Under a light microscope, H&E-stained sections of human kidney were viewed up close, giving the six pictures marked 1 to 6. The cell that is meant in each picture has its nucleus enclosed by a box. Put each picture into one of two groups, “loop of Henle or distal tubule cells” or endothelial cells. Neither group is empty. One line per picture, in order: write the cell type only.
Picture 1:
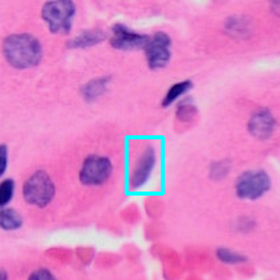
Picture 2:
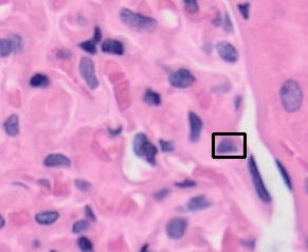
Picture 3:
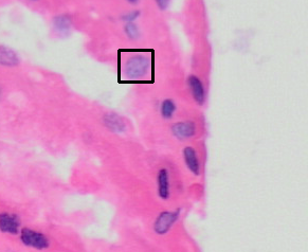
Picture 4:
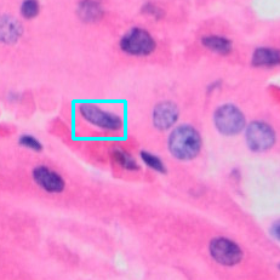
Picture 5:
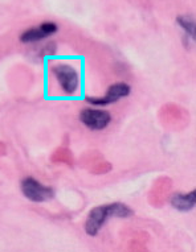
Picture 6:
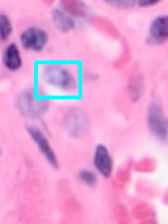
endothelial cell
endothelial cell
loop of Henle or distal tubule cell
endothelial cell
endothelial cell
loop of Henle or distal tubule cell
